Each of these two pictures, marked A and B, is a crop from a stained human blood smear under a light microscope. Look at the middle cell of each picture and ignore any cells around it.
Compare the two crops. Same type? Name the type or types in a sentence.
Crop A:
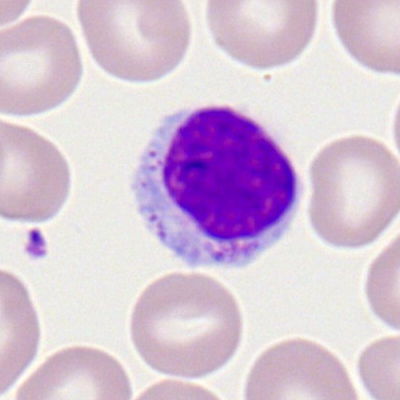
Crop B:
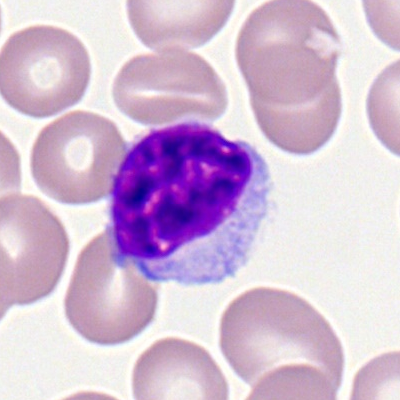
Yes, what both crops show is lymphocytes.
